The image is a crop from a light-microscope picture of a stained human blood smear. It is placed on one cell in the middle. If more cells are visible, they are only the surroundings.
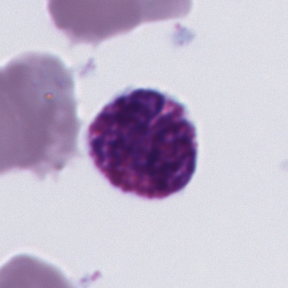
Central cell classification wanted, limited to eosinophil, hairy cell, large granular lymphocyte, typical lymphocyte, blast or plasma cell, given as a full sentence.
In the middle of this smear crop is an eosinophil.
